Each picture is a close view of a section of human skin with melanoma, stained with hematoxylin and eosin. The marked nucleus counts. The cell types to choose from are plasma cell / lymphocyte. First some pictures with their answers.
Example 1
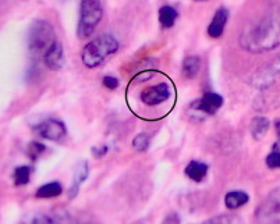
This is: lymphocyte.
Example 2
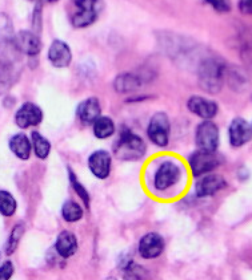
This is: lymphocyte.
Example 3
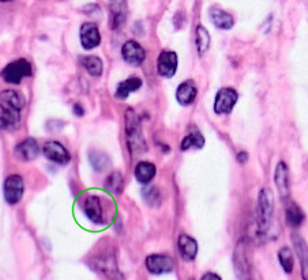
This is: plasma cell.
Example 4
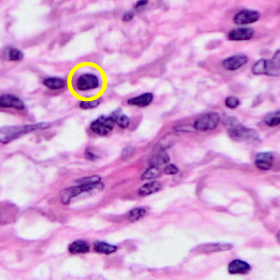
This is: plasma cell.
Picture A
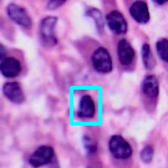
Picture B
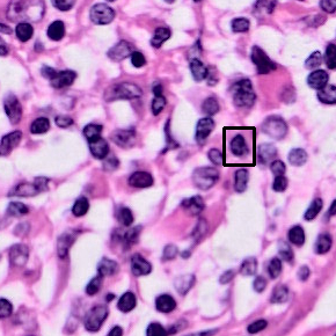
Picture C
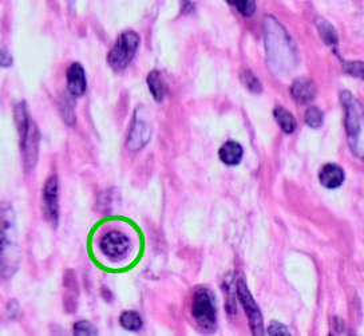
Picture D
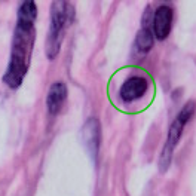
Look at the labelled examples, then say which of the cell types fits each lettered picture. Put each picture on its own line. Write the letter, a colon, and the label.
A: plasma cell.
B: lymphocyte.
C: plasma cell.
D: plasma cell.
